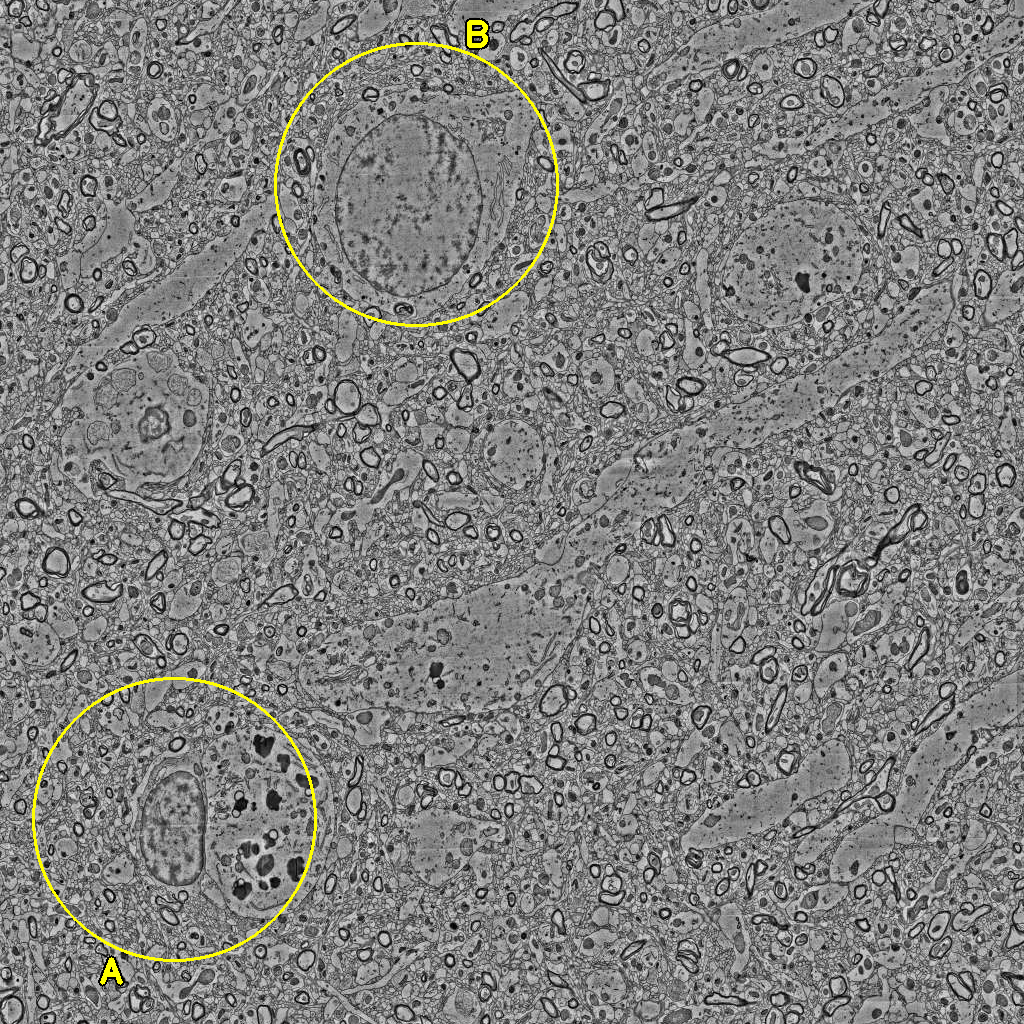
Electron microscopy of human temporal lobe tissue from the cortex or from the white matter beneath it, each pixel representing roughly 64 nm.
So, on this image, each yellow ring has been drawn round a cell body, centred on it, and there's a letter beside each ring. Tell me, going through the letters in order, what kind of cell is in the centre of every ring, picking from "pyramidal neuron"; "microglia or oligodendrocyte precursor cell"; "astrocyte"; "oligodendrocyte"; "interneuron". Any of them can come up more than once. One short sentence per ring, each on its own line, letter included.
Ring A has been drawn round an oligodendrocyte.
Ring B has been drawn round an interneuron.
